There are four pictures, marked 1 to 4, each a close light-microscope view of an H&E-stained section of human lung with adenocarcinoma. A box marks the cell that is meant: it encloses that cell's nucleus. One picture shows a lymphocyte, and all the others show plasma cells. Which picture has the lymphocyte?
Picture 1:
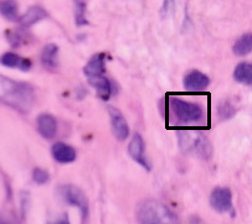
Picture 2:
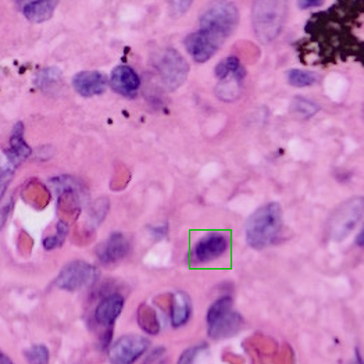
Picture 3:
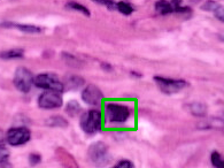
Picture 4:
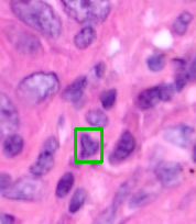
3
